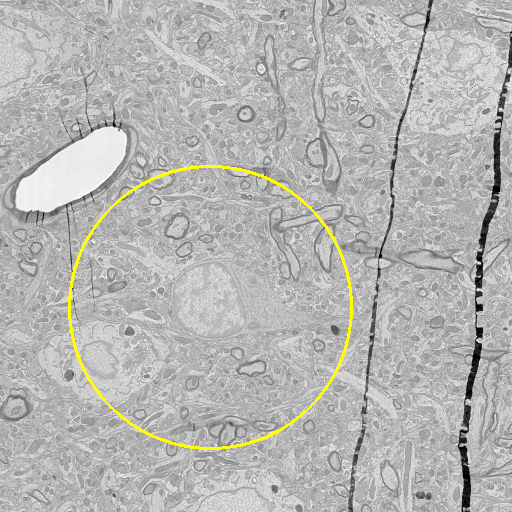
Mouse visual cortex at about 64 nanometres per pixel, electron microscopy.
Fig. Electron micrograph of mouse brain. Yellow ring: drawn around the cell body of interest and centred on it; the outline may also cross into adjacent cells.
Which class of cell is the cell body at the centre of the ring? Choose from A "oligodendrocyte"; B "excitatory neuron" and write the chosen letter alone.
A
